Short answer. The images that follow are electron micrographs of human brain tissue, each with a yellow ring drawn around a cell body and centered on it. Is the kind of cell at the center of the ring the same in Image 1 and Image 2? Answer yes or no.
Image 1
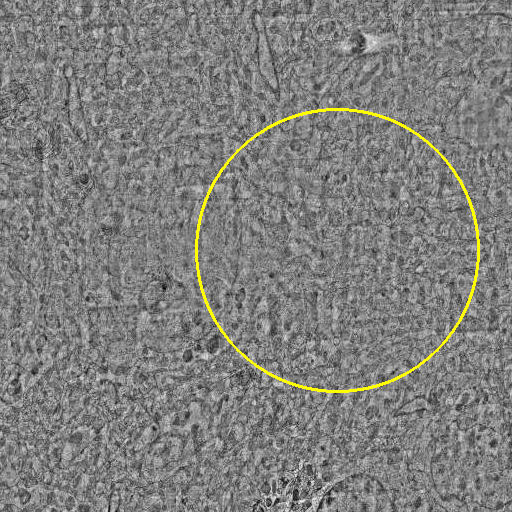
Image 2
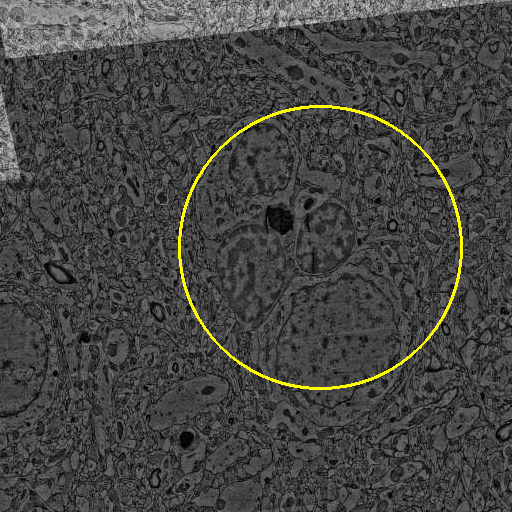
no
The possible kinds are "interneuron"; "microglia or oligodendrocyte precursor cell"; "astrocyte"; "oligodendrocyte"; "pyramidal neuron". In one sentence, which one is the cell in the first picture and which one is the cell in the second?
The cell ringed in the second picture is a microglial cell or oligodendrocyte precursor cell, whereas the one ringed in the first is a pyramidal neuron.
